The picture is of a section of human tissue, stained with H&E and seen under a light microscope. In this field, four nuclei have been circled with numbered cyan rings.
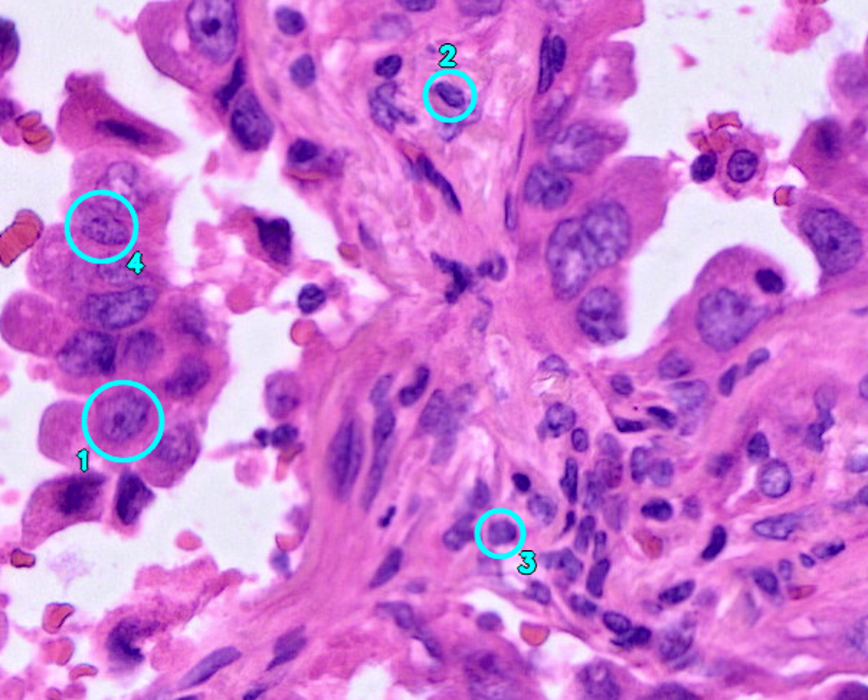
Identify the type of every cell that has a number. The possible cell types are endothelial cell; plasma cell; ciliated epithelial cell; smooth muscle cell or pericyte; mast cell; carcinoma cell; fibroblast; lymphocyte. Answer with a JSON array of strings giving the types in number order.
["carcinoma cell", "lymphocyte", "lymphocyte", "carcinoma cell"]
